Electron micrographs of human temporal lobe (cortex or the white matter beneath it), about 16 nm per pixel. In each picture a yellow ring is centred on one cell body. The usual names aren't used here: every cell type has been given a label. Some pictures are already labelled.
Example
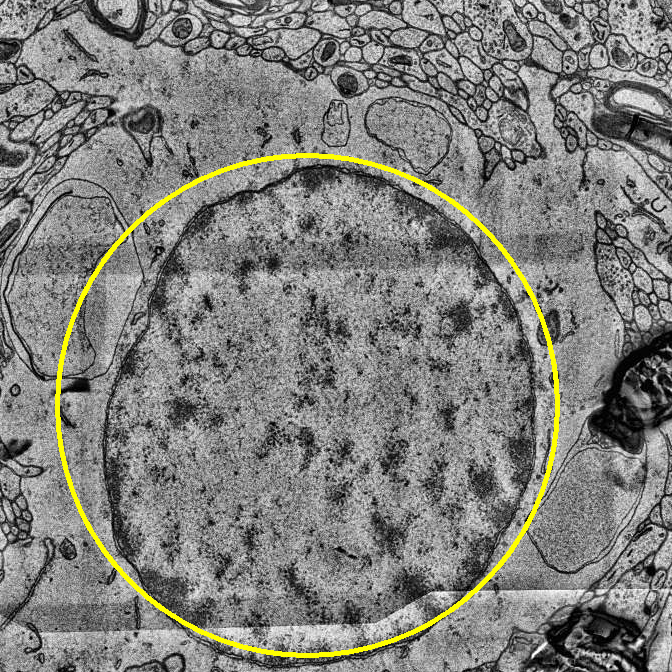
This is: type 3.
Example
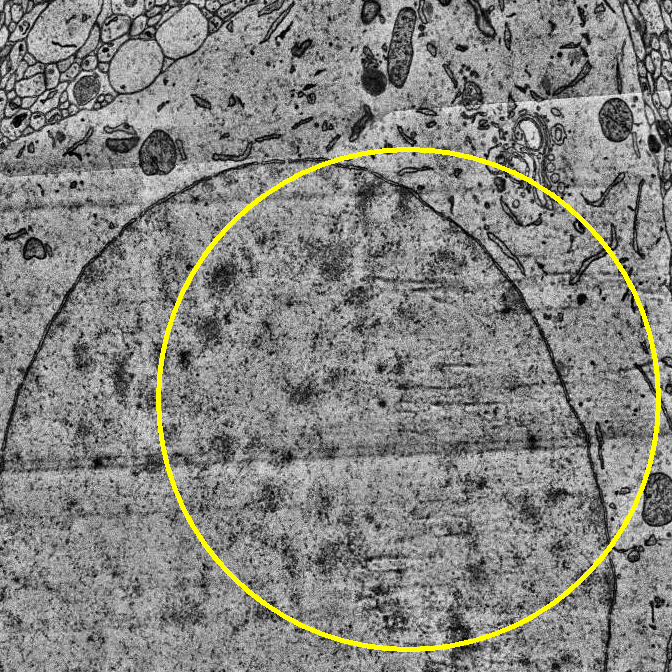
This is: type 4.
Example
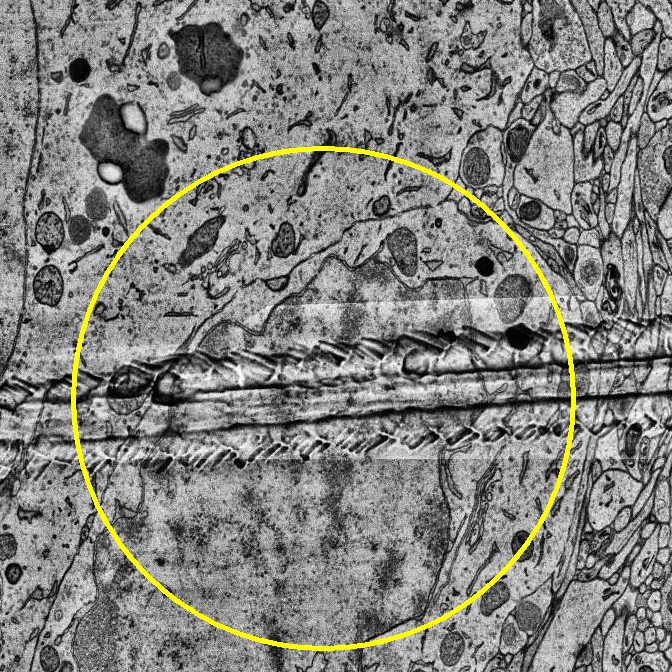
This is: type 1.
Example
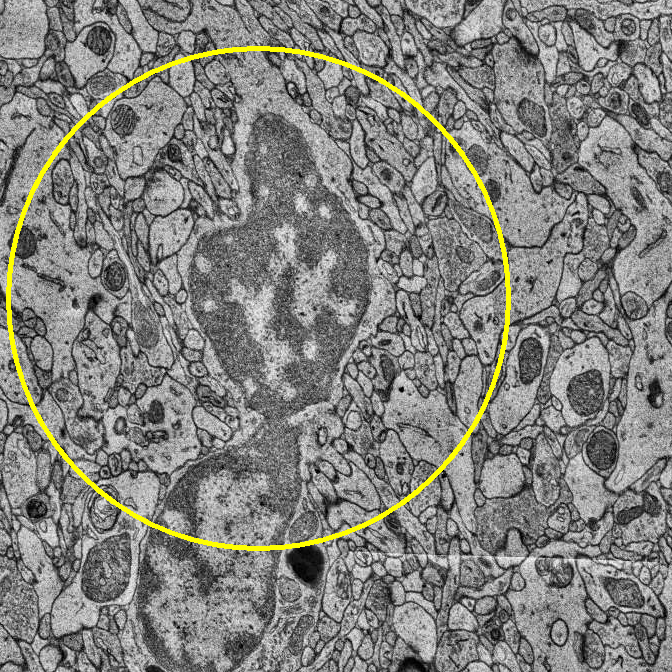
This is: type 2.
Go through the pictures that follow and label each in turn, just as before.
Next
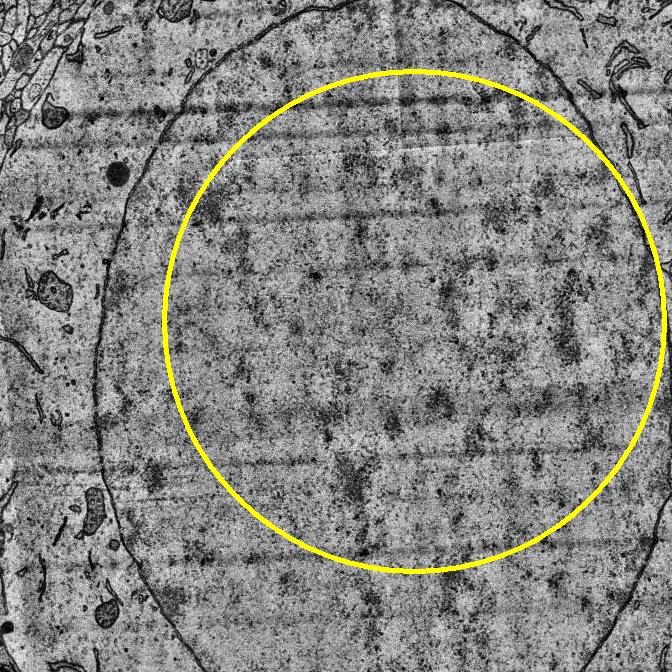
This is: type 4.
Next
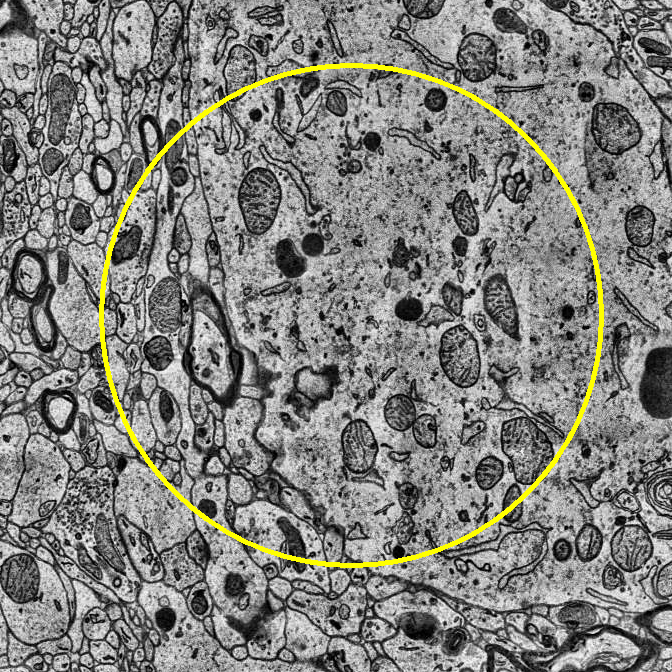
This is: type 2.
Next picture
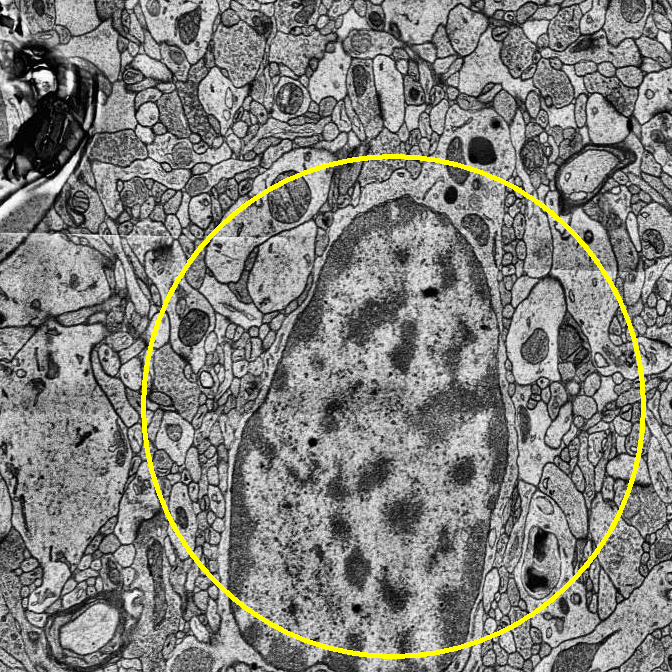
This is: type 2.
